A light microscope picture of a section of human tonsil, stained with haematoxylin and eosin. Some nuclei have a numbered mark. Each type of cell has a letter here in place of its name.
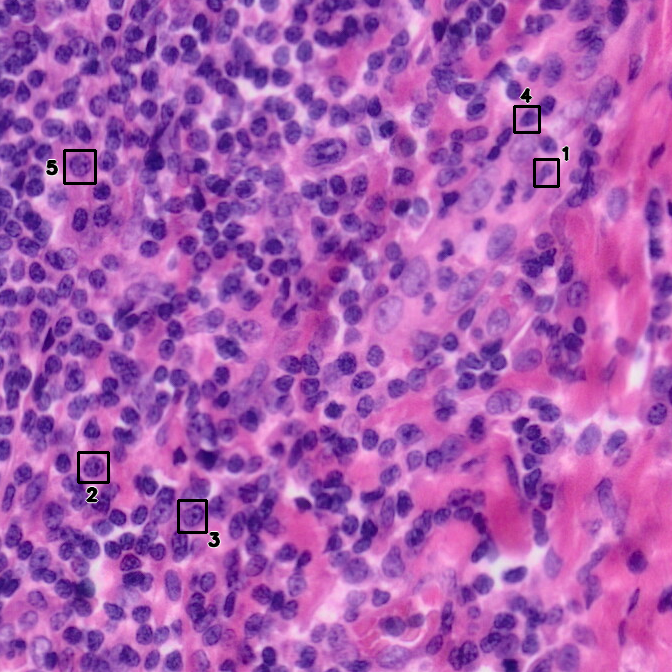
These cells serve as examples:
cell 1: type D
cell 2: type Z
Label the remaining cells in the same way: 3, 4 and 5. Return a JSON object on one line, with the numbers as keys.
{"3": "type Z", "4": "type D", "5": "type Z"}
